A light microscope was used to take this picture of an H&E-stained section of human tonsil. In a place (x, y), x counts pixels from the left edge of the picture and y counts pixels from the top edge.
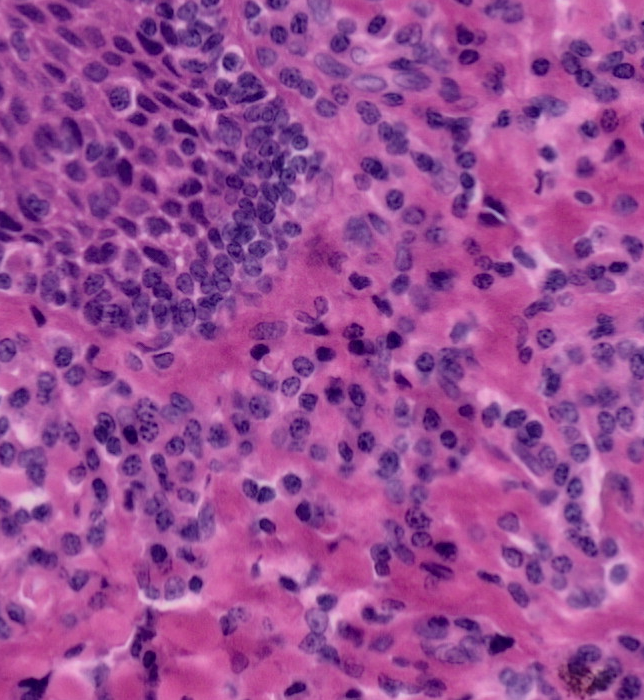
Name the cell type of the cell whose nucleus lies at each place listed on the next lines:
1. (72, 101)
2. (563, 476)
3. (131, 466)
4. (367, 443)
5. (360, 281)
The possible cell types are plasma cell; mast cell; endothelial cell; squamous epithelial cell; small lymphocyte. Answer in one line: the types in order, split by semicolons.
squamous epithelial cell; plasma cell; plasma cell; plasma cell; mast cell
